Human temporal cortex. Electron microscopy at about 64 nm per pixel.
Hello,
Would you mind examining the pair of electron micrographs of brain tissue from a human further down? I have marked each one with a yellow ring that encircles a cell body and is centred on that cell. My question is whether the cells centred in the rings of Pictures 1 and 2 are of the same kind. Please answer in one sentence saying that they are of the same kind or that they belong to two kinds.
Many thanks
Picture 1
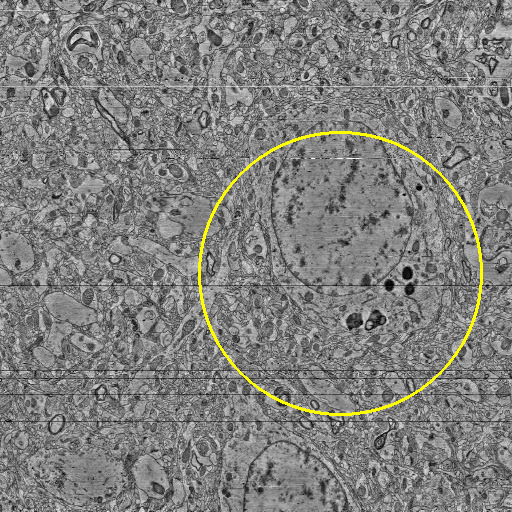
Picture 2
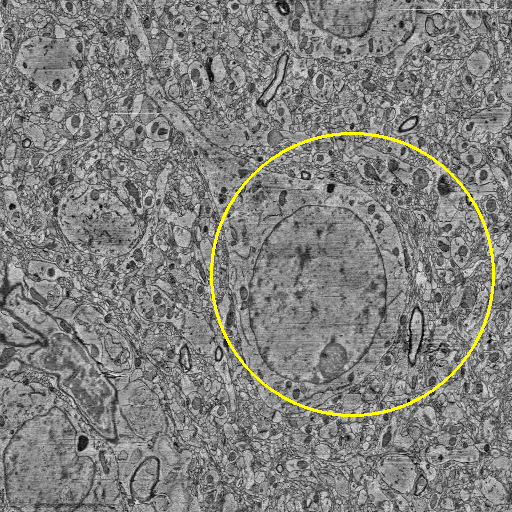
In Pictures 1 and 2, the cells at the heart of the rings are of the same kind.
